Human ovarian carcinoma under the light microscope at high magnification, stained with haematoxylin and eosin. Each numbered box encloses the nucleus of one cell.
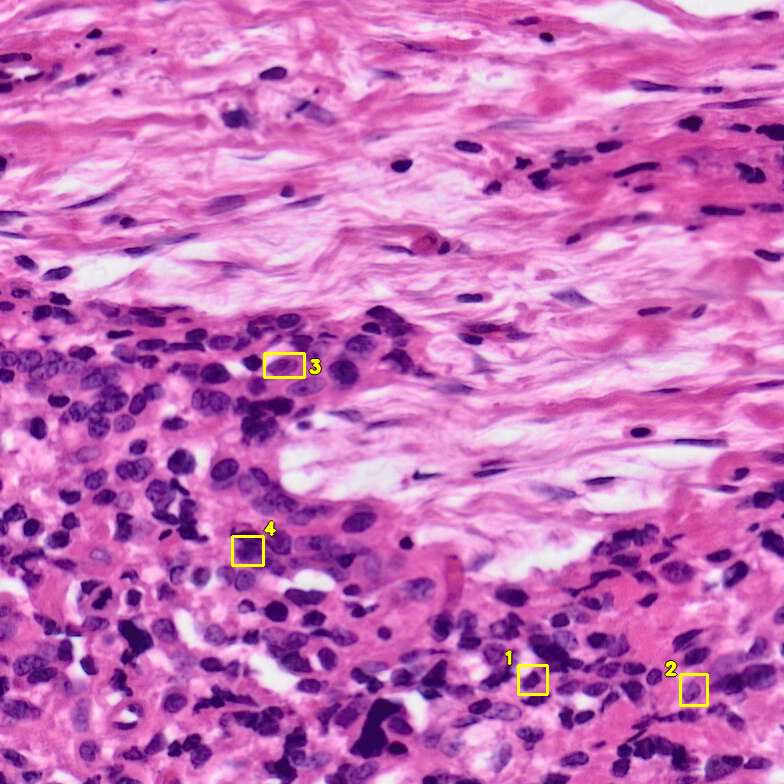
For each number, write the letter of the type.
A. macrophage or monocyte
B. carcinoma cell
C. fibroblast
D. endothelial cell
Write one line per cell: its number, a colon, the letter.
1: B
2: A
3: B
4: B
